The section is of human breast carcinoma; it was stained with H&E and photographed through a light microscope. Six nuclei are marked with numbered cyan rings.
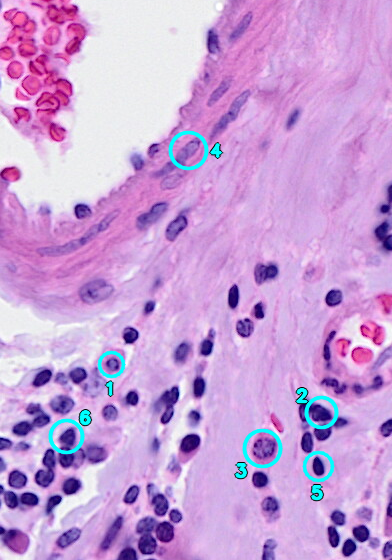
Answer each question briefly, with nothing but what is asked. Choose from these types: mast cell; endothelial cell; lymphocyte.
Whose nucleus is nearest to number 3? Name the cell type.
lymphocyte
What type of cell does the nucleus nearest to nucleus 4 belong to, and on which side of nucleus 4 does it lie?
an endothelial cell below and to the left of nucleus 4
